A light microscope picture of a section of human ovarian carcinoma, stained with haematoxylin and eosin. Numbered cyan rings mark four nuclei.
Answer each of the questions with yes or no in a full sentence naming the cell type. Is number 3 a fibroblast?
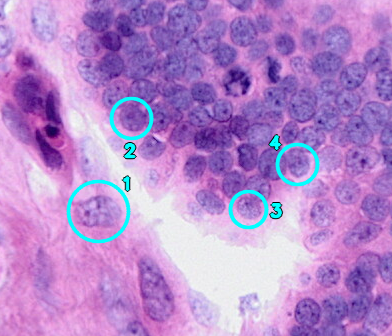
No. Cell number 3 is a carcinoma cell, not a fibroblast.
